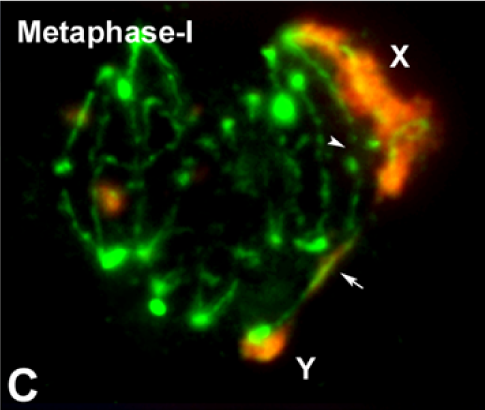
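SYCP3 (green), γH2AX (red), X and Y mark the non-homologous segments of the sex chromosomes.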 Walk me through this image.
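On the right side a large orange-red mass of chromatin is drawn out along an arc, while a small orange-red knob sits at the bottom. A thin red-tinged filament runs from the lower part of the cell toward the small knob, linking it to the rest of the group. A few small red spots are scattered among the green threads elsewhere.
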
